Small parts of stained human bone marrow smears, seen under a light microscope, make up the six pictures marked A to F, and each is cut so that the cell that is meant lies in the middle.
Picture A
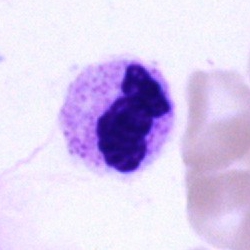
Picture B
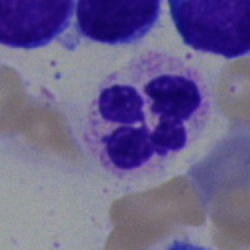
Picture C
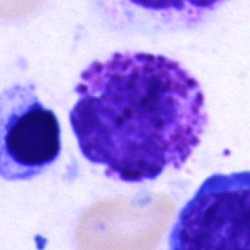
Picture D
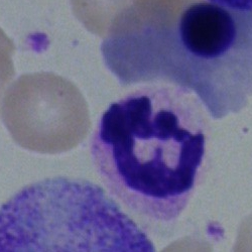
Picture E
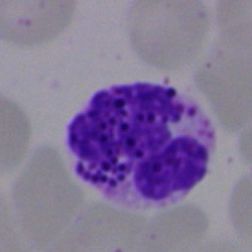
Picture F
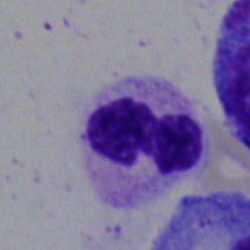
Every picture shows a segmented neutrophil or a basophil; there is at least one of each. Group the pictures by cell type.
A: segmented neutrophil
B: segmented neutrophil
C: basophil
D: segmented neutrophil
E: basophil
F: segmented neutrophil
